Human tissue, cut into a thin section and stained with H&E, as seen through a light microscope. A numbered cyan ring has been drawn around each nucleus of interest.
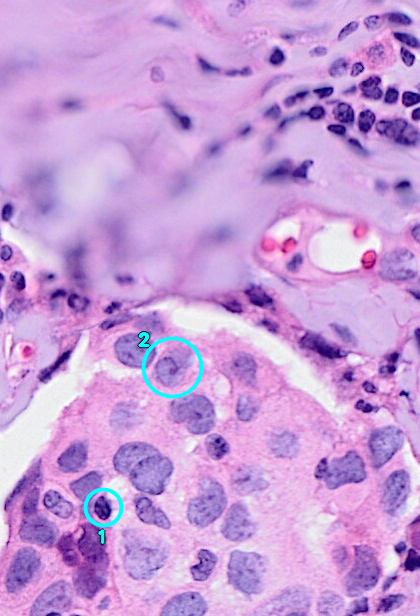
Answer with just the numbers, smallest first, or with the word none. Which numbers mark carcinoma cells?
2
